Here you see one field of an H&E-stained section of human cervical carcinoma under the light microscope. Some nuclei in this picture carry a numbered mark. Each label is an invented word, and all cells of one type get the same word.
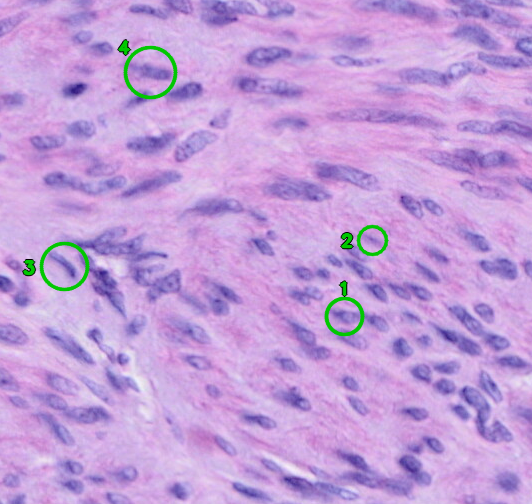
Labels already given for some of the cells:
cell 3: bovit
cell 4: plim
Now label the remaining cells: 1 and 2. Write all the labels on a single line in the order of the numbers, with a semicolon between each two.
plim; plim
